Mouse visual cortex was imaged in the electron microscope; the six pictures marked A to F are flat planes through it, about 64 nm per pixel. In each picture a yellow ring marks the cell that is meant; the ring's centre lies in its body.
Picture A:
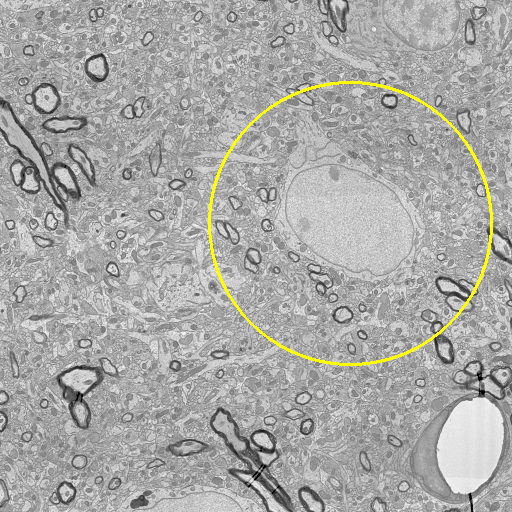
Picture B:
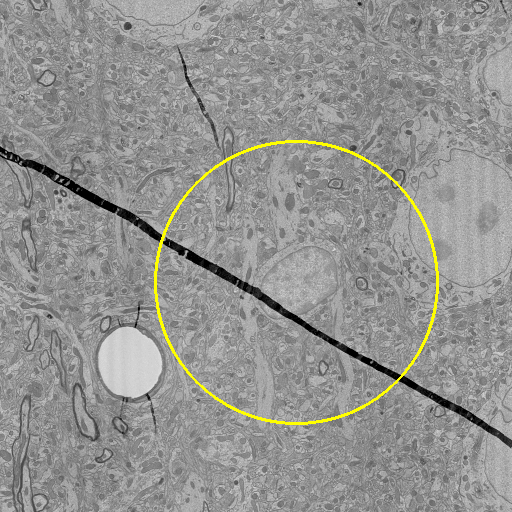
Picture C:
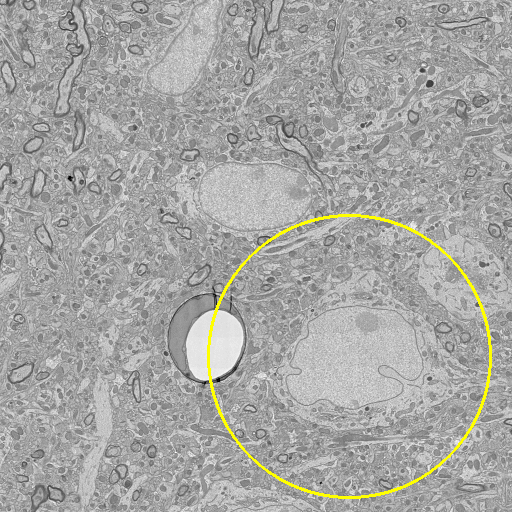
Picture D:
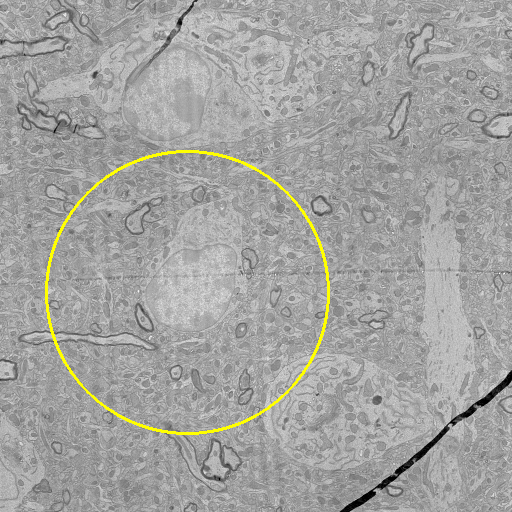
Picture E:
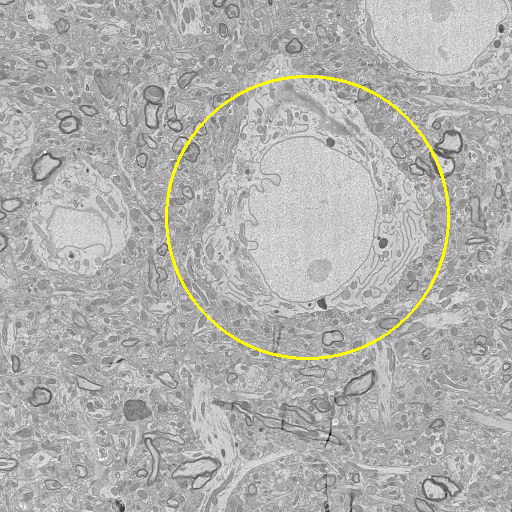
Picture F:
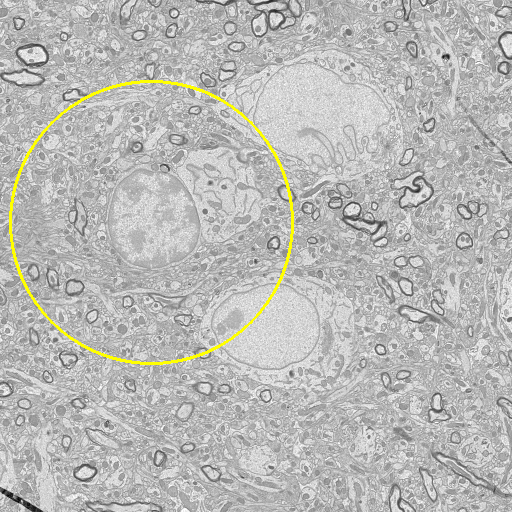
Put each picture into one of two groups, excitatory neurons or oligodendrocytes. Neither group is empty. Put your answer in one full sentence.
Pictures A, C and E show excitatory neurons, while pictures B, D and F show oligodendrocytes.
